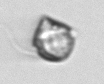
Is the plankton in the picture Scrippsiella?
Yes, it is Scrippsiella.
